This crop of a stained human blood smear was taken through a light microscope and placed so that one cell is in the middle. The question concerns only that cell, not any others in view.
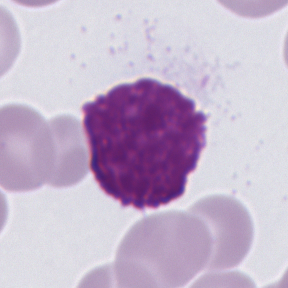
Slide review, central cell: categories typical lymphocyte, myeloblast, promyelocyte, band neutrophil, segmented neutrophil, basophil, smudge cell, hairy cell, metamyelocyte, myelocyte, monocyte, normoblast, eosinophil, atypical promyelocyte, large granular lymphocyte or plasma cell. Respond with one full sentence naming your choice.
To answer, the cell in the center of the crop is a smudge cell.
